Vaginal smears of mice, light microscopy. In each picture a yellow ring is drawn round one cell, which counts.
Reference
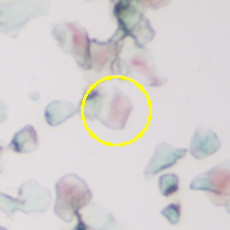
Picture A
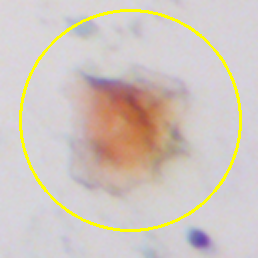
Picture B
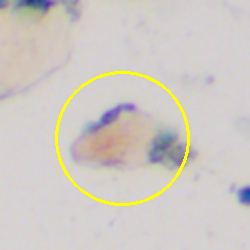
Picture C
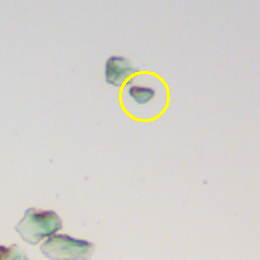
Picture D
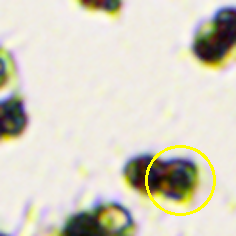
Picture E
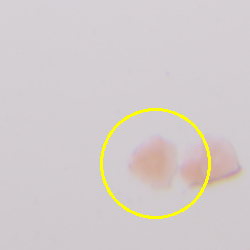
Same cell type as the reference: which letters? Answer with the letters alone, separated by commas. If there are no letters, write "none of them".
A, B, C, E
